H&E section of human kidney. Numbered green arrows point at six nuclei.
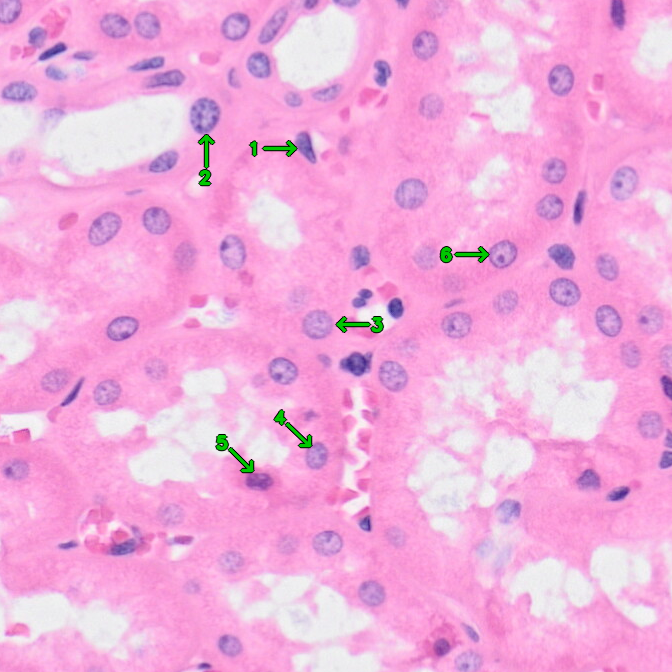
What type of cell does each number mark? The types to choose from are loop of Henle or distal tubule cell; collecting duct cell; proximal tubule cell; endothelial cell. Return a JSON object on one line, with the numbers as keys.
{"1": "endothelial cell", "2": "collecting duct cell", "3": "proximal tubule cell", "4": "proximal tubule cell", "5": "proximal tubule cell", "6": "proximal tubule cell"}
